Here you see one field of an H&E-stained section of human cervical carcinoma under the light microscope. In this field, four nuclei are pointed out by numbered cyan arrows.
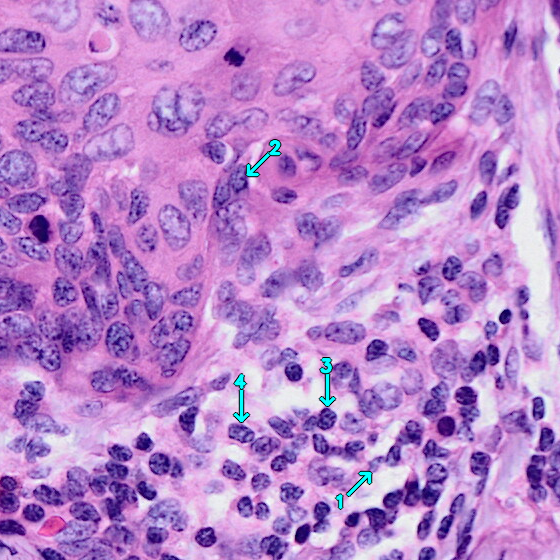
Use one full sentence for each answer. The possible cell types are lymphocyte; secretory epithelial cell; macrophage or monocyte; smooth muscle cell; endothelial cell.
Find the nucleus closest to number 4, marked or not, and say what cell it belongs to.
Closest to number 4 lies the nucleus of a lymphocyte.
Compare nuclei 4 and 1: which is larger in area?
Of the two, number 4 is bigger and takes up about 2.5 times the area of number 1.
